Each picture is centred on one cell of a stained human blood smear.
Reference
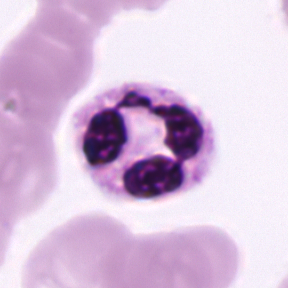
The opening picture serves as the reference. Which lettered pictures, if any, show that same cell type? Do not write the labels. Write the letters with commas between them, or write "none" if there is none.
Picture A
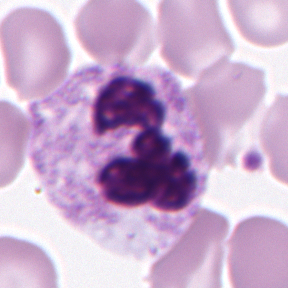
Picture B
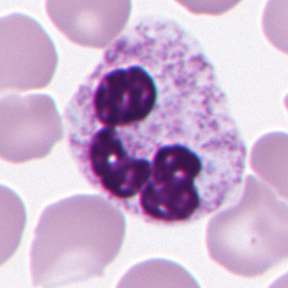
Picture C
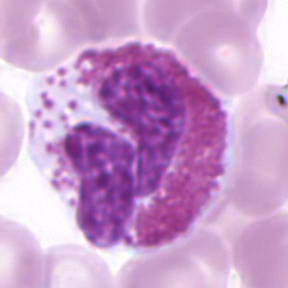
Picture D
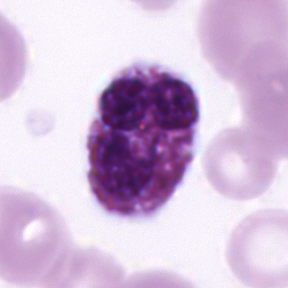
A, B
